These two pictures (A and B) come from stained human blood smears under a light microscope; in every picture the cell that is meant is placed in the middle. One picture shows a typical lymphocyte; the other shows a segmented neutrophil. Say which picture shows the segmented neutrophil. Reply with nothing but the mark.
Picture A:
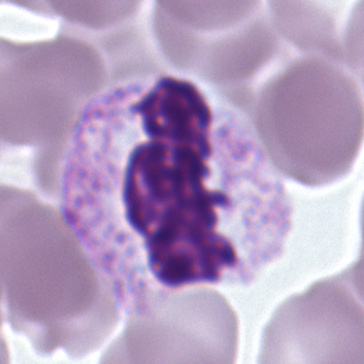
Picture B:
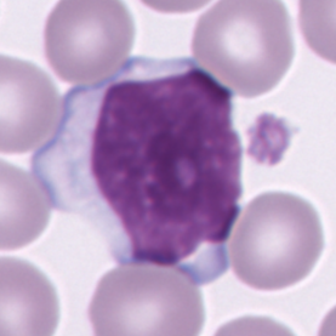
A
